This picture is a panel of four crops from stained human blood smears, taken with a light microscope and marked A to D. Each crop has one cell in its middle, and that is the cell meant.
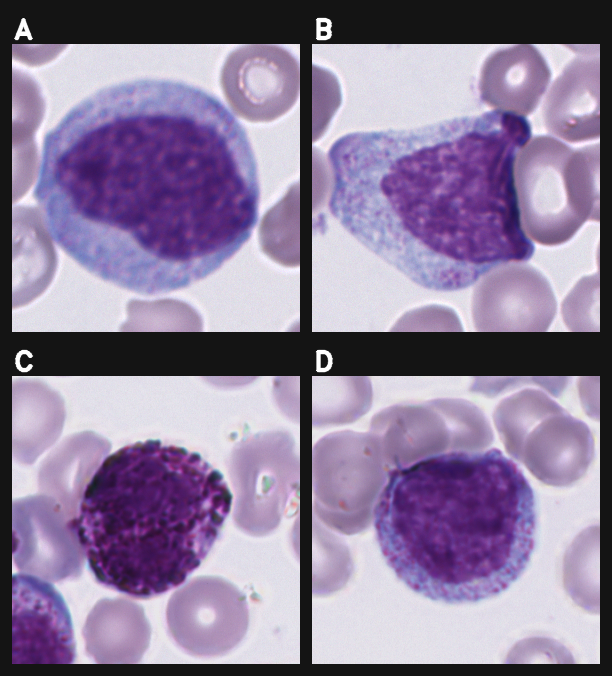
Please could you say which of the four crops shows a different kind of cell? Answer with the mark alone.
C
